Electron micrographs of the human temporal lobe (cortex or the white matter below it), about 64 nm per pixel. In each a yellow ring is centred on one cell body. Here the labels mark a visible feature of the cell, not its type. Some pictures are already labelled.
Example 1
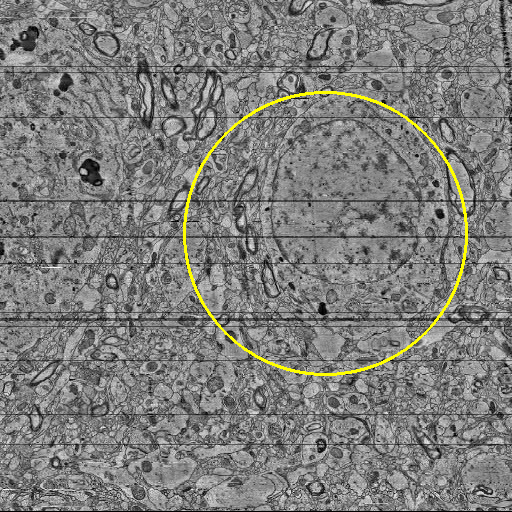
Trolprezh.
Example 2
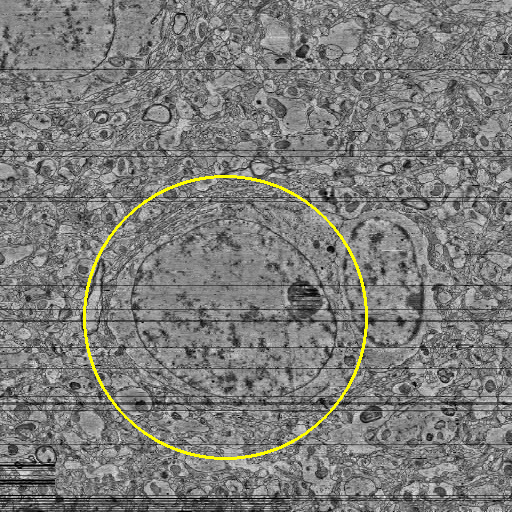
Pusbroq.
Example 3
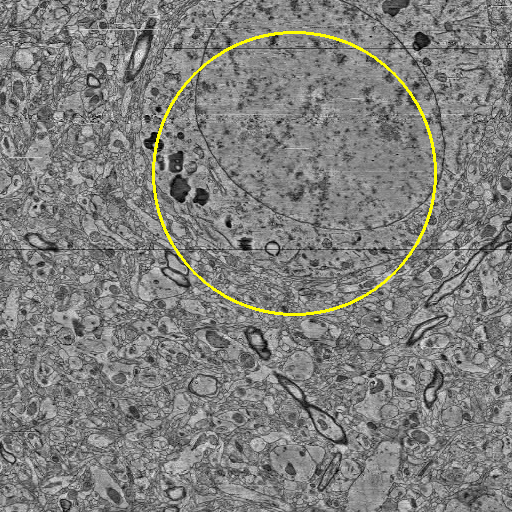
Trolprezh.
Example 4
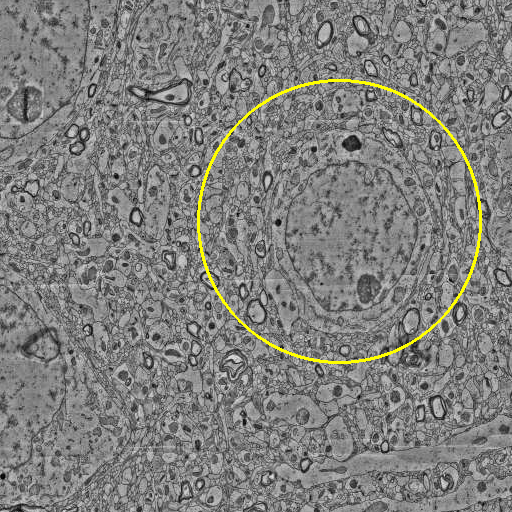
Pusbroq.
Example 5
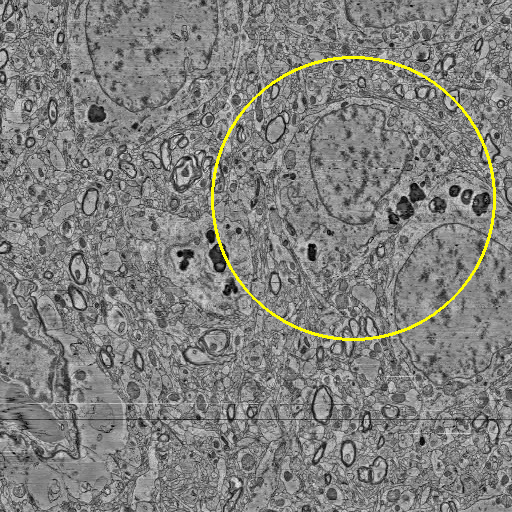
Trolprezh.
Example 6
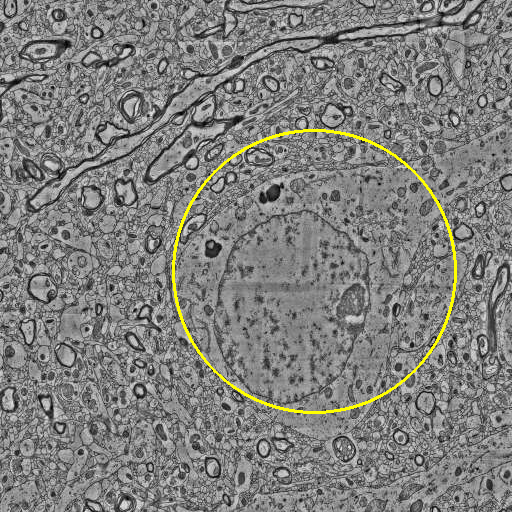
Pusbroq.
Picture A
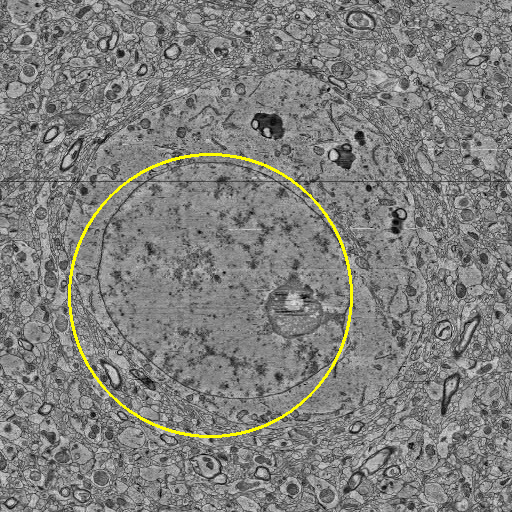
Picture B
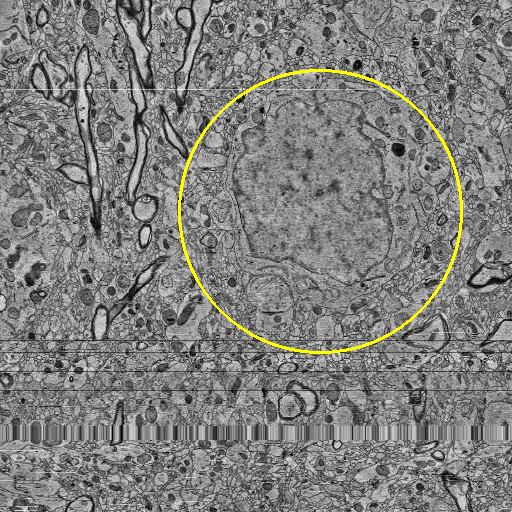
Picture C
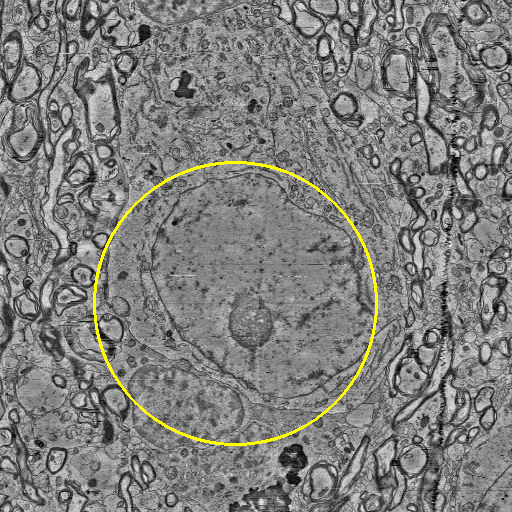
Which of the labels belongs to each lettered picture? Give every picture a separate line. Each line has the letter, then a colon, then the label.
A: Pusbroq.
B: Trolprezh.
C: Pusbroq.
